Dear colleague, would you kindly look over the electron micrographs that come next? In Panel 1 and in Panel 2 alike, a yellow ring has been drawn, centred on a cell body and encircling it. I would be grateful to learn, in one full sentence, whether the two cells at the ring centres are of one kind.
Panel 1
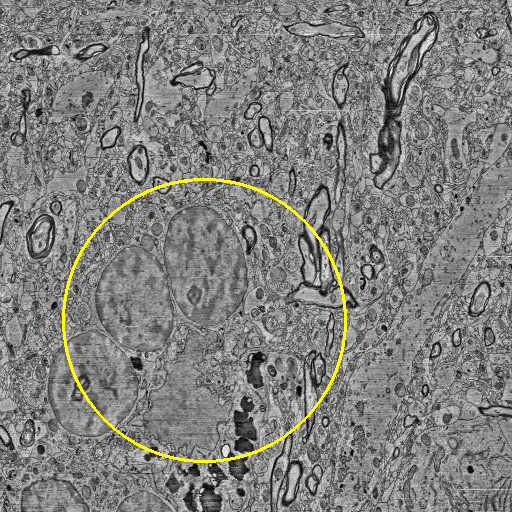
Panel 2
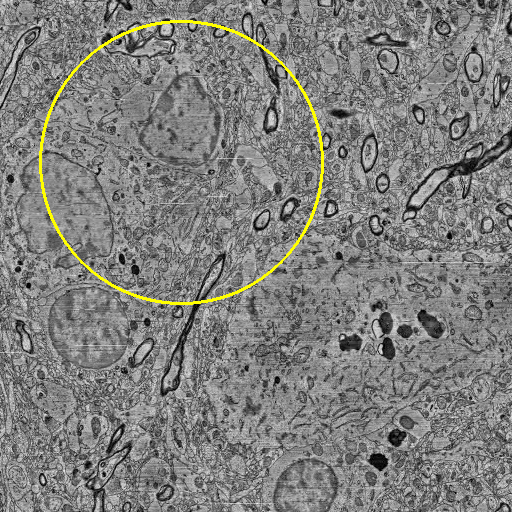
No, the cells in the middle of the rings in the two panels are of two kinds.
